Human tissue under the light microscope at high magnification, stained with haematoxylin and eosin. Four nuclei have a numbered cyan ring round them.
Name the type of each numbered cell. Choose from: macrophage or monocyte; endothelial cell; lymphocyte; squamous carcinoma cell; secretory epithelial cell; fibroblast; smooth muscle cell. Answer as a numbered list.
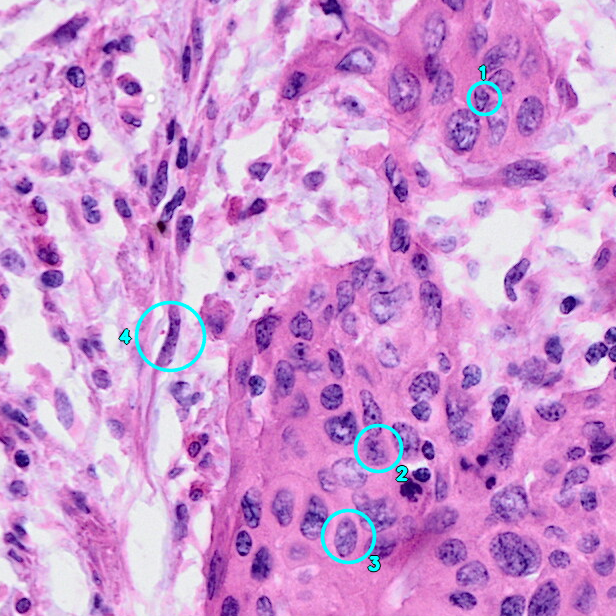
1. squamous carcinoma cell
2. squamous carcinoma cell
3. squamous carcinoma cell
4. fibroblast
